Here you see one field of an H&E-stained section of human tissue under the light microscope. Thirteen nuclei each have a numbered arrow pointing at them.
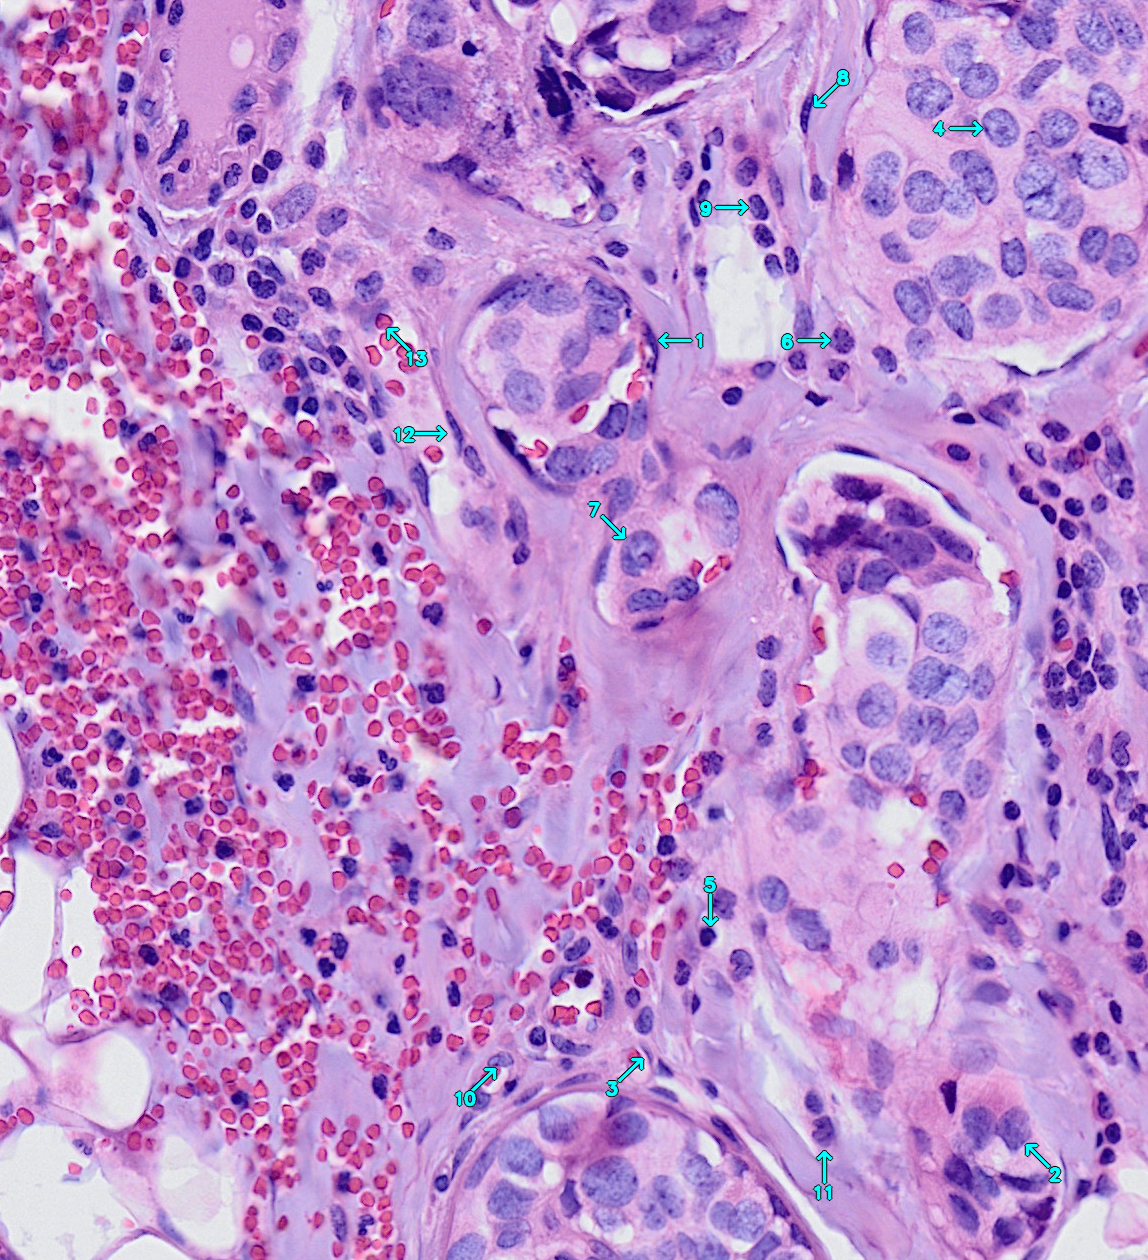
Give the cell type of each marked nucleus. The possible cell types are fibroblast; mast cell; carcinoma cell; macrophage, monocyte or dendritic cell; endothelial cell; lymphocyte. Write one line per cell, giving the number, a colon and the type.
1: endothelial cell
2: carcinoma cell
3: endothelial cell
4: carcinoma cell
5: lymphocyte
6: macrophage, monocyte or dendritic cell
7: carcinoma cell
8: fibroblast
9: lymphocyte
10: endothelial cell
11: macrophage, monocyte or dendritic cell
12: endothelial cell
13: endothelial cell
